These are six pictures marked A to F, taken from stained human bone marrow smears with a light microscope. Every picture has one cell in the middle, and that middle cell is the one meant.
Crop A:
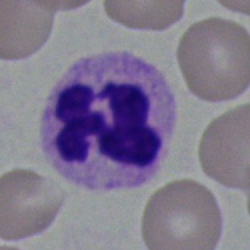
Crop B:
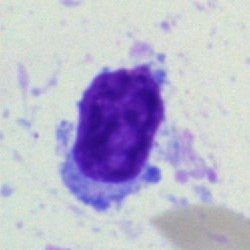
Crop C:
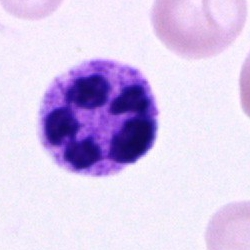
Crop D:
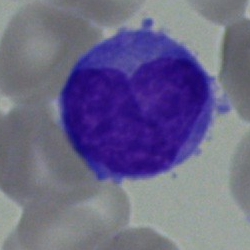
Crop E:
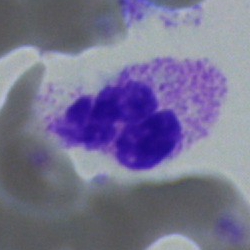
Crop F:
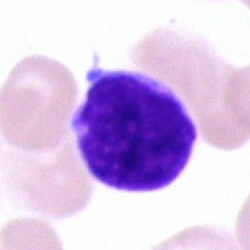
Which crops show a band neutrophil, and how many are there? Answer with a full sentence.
Zero is the count, since band neutrophils occur in none of the crops.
